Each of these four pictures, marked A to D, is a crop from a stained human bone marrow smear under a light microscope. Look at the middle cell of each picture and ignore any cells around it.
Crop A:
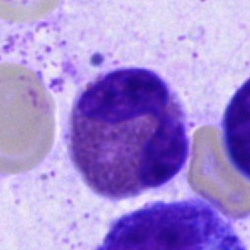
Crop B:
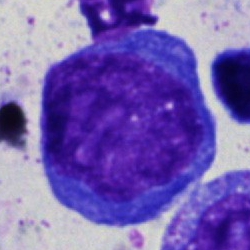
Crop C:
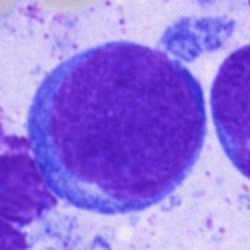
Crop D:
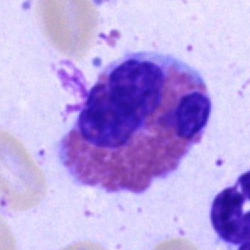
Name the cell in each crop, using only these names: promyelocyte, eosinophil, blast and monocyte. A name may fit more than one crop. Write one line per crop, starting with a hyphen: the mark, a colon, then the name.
- A: eosinophil
- B: blast
- C: blast
- D: eosinophil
